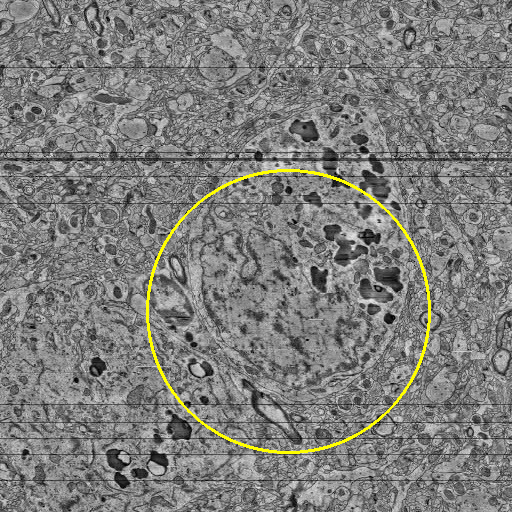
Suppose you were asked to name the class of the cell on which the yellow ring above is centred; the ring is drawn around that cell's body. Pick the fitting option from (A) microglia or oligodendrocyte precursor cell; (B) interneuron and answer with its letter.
B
